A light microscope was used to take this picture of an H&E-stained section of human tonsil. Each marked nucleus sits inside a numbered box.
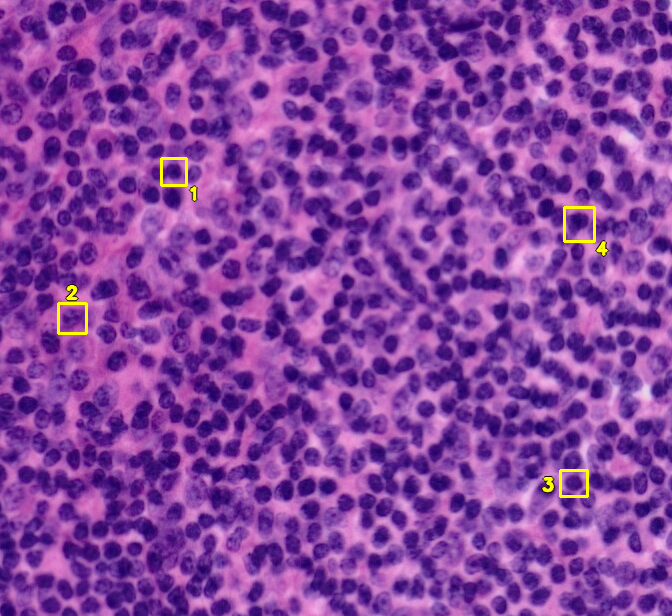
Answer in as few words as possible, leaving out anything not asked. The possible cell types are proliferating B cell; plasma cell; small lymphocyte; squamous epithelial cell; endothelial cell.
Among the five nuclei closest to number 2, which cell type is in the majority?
plasma cell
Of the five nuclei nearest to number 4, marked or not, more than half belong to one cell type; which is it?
small lymphocyte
